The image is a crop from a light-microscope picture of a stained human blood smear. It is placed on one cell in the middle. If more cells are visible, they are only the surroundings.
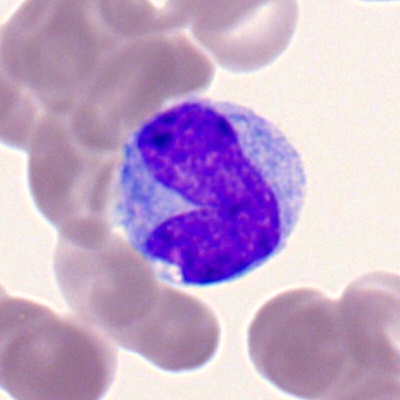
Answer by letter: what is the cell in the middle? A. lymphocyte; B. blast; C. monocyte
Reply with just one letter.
C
